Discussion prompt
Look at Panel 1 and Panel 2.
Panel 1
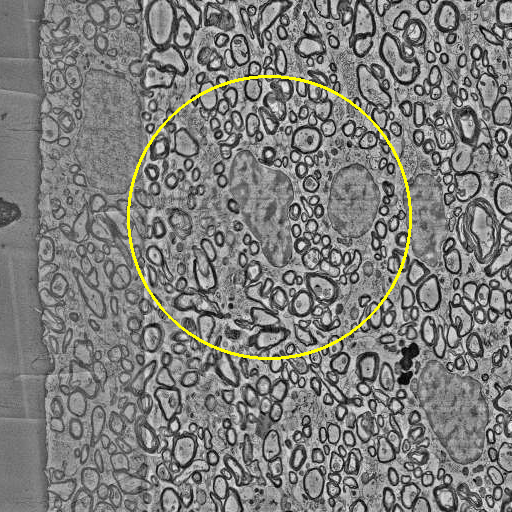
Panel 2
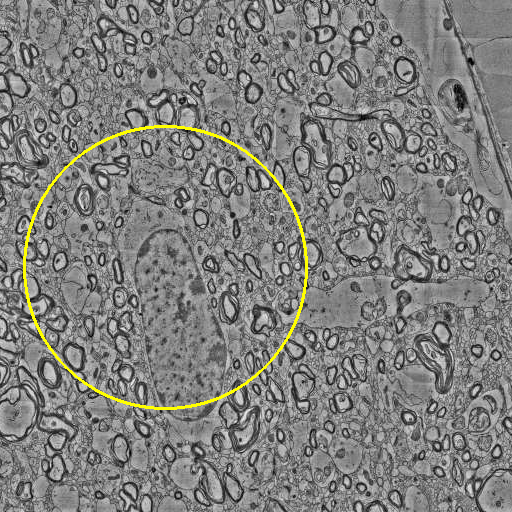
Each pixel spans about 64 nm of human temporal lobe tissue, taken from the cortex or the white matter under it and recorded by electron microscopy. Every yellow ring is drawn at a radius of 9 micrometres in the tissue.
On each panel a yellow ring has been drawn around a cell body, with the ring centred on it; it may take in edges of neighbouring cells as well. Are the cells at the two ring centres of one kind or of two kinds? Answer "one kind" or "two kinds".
one kind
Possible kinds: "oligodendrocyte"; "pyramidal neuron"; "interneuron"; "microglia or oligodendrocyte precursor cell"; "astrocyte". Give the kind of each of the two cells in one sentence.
The cell at the ring centre is a microglial cell or oligodendrocyte precursor cell in both pictures.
